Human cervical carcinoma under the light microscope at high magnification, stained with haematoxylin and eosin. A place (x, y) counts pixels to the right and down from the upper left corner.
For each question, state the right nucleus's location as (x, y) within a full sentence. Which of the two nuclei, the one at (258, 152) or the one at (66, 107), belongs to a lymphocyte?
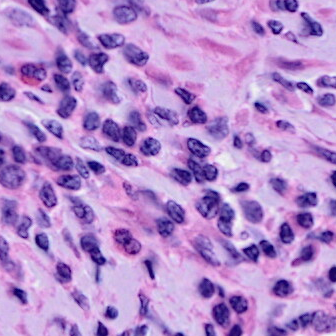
Among the two, the nucleus at (66, 107) is the nucleus of a lymphocyte.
